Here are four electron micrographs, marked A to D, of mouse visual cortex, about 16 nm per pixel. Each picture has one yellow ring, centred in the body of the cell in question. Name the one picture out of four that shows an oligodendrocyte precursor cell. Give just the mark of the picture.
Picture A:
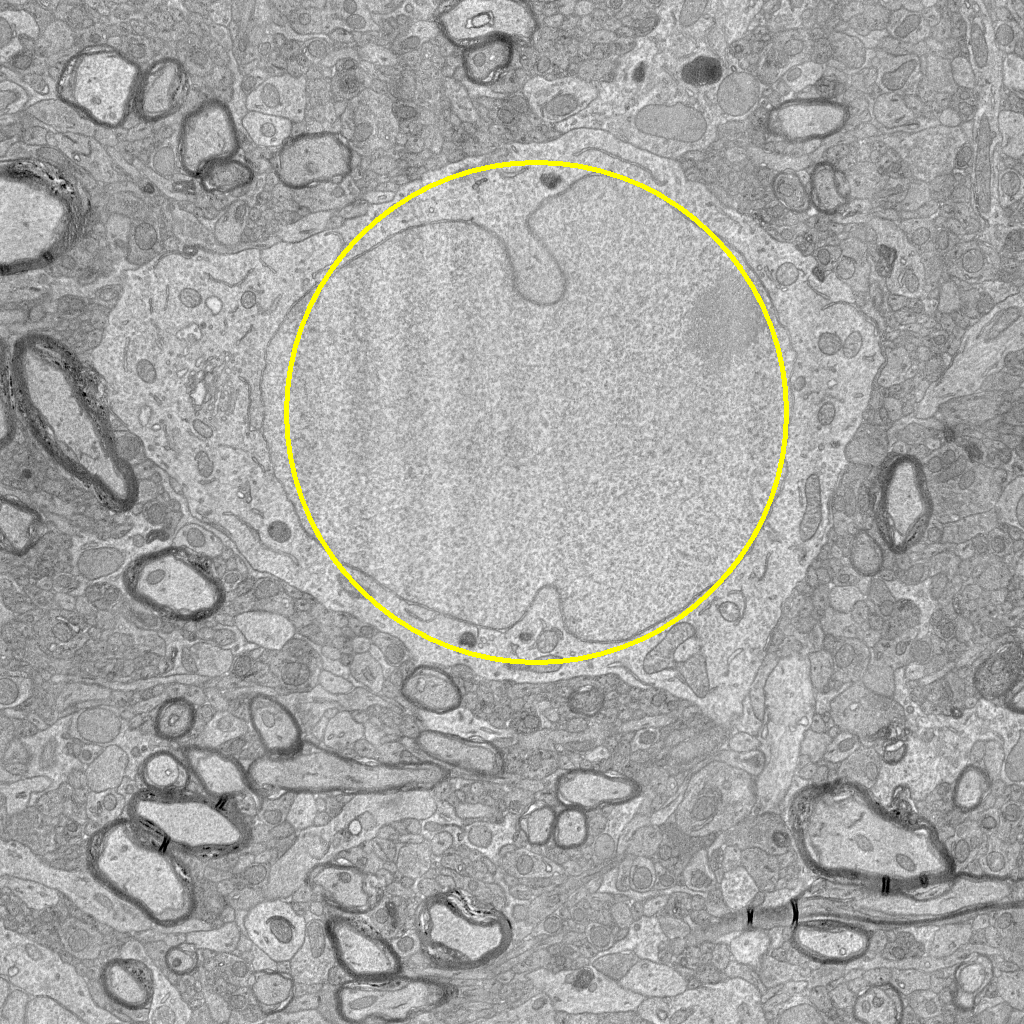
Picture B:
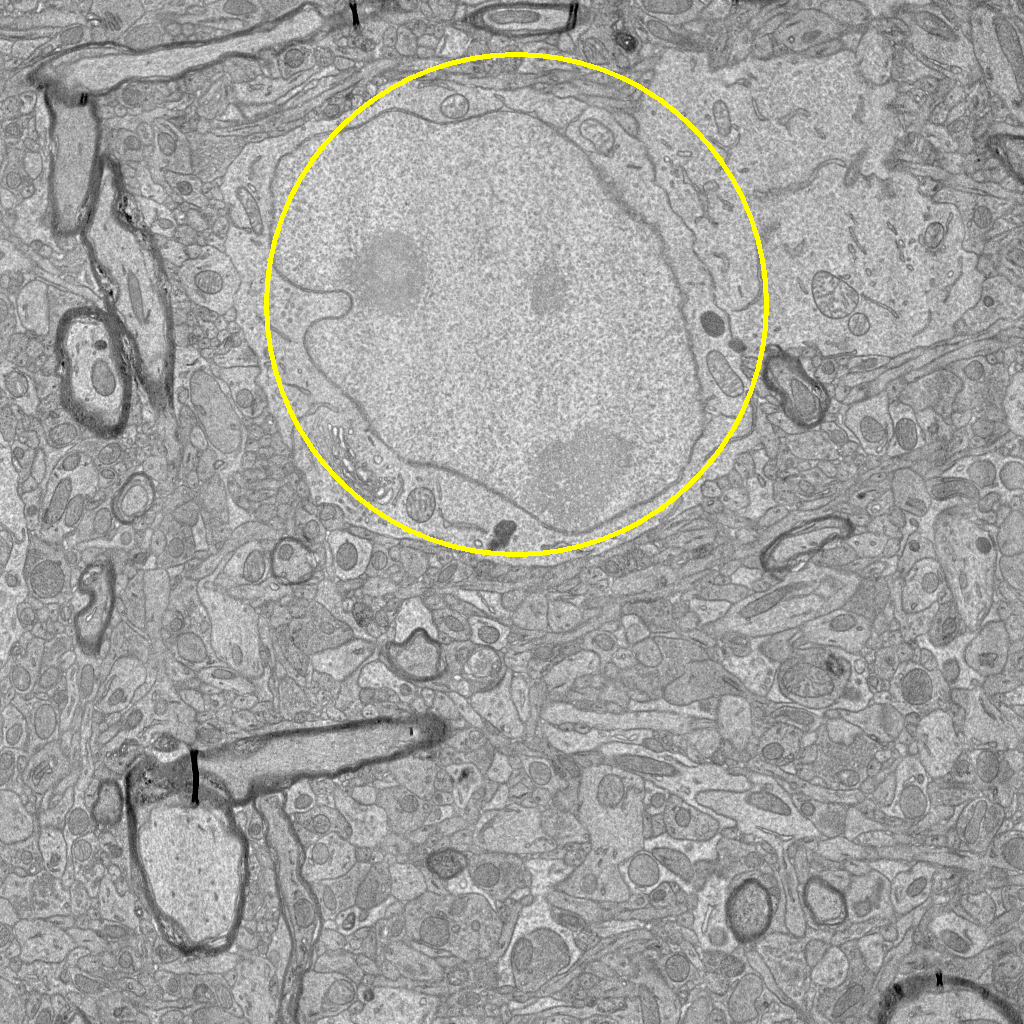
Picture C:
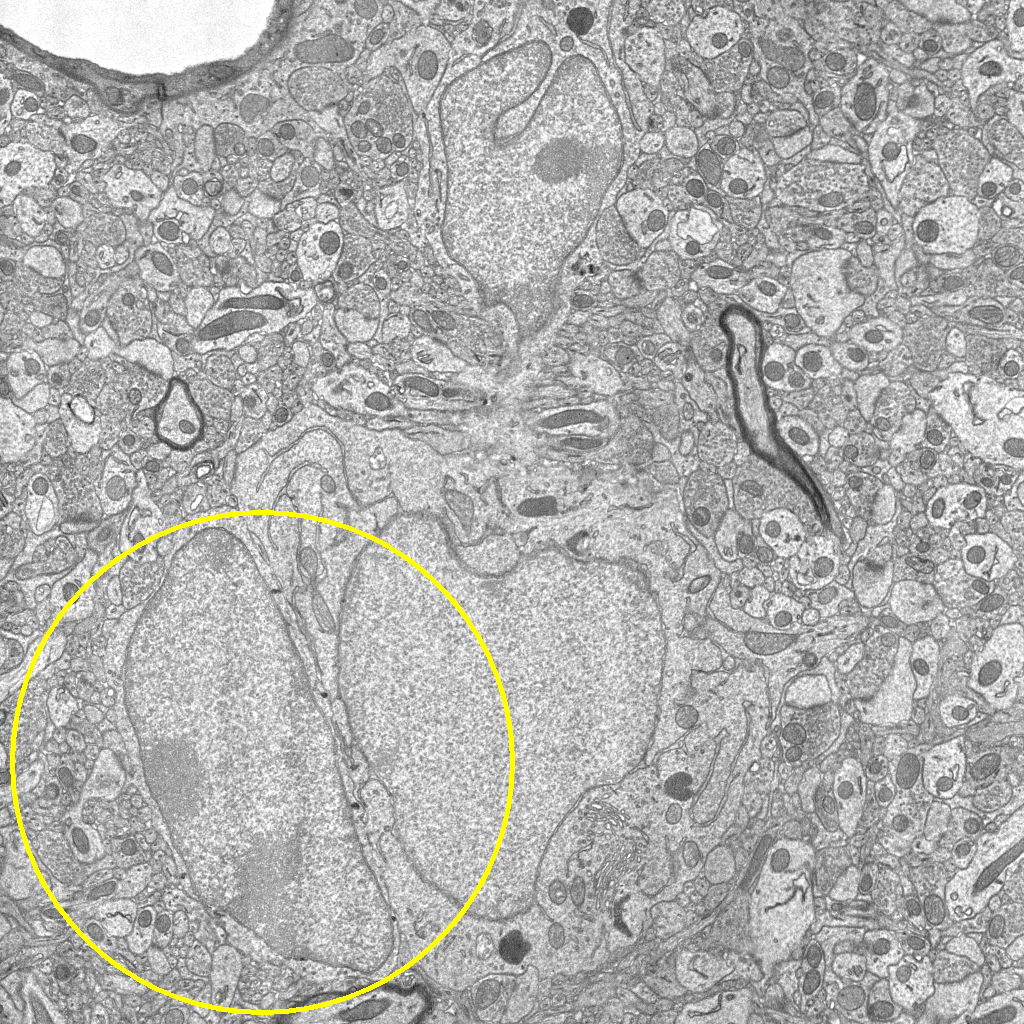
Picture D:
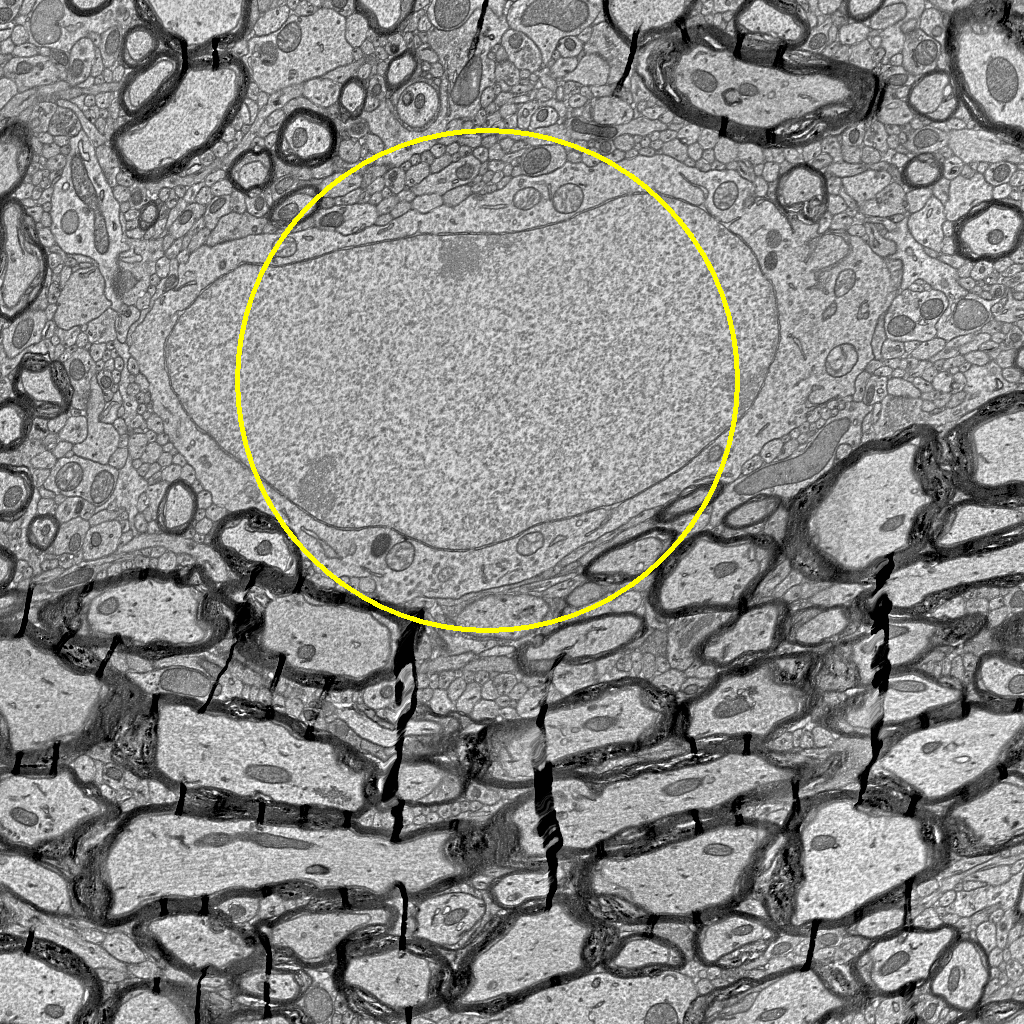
C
